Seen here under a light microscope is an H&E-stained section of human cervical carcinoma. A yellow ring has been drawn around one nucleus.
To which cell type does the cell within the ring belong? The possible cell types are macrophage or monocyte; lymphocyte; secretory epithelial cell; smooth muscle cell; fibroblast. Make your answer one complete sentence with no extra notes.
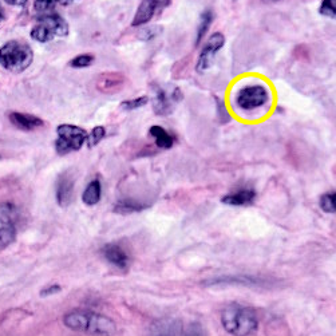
As a matter of cell type, the cell within the ring is a lymphocyte.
